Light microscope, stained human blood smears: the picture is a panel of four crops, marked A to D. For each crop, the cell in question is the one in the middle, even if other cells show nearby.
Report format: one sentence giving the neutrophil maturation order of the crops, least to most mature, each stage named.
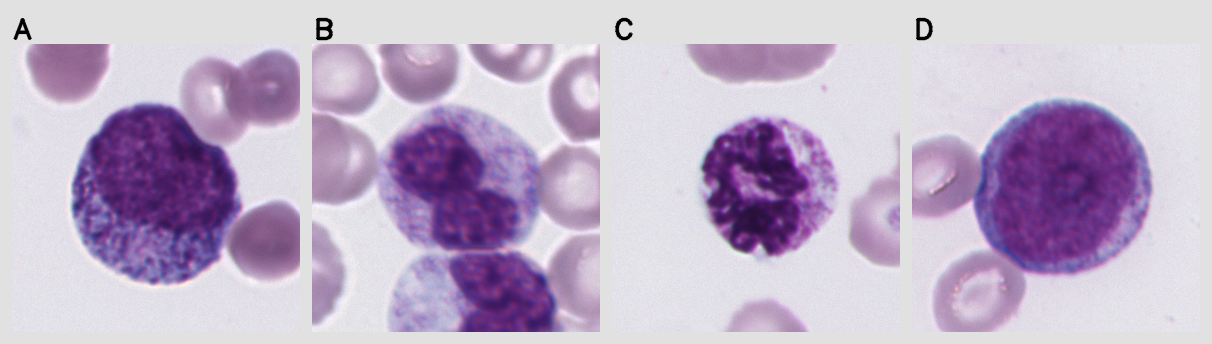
Arranged from least mature to most mature, the sequence reads crop D (a promyelocyte), crop A (a myelocyte), crop B (a band neutrophil) and crop C (a segmented neutrophil).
